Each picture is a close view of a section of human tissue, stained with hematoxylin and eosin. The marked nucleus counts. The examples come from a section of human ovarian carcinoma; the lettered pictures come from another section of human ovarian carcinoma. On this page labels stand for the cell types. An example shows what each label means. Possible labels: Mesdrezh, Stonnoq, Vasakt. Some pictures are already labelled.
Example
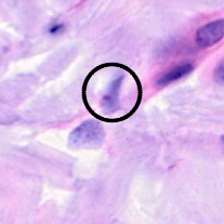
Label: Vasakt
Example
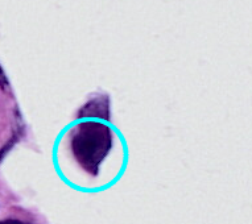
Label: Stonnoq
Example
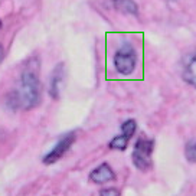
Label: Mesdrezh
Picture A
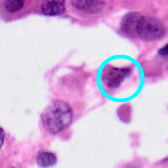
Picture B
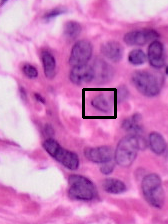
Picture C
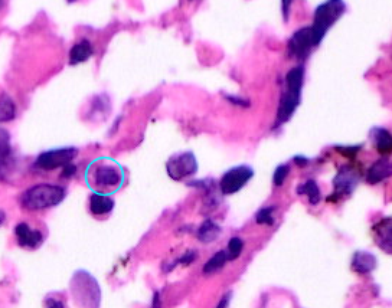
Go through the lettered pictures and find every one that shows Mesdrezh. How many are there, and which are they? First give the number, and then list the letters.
Count: 3 (A, B, C)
